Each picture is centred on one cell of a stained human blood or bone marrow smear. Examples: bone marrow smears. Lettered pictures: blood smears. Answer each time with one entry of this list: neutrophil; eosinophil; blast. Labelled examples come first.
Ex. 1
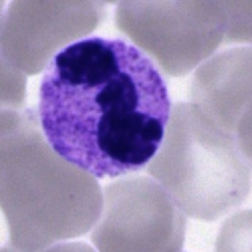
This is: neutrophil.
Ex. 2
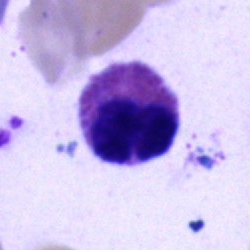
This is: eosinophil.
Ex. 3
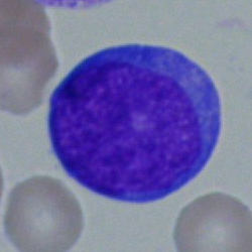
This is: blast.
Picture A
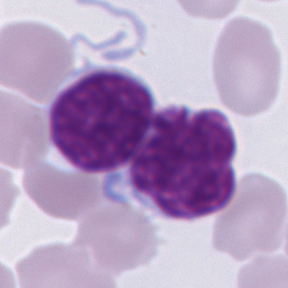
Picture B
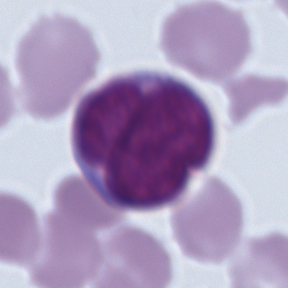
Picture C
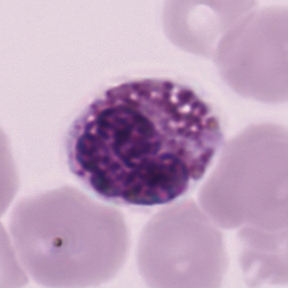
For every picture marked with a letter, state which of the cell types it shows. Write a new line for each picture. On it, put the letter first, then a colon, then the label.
A: blast.
B: blast.
C: eosinophil.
